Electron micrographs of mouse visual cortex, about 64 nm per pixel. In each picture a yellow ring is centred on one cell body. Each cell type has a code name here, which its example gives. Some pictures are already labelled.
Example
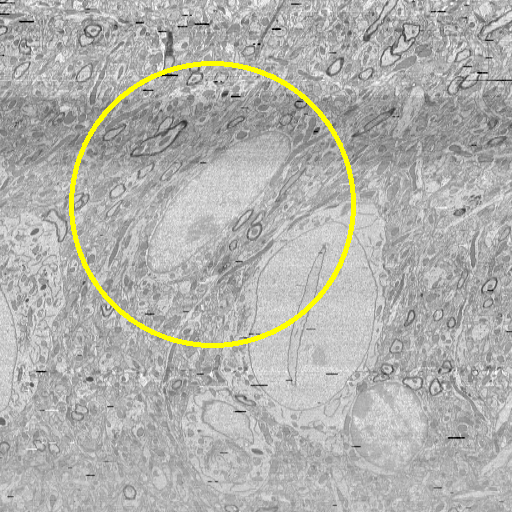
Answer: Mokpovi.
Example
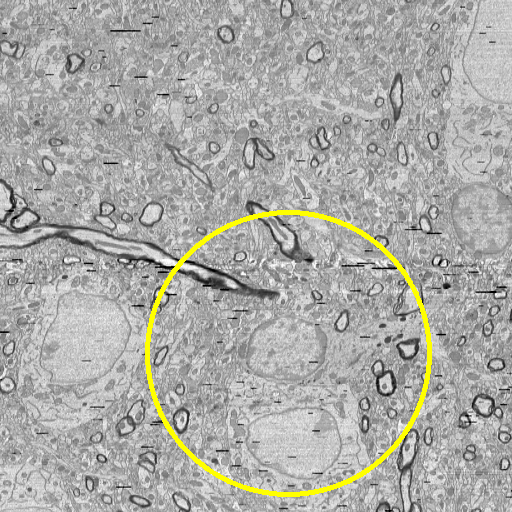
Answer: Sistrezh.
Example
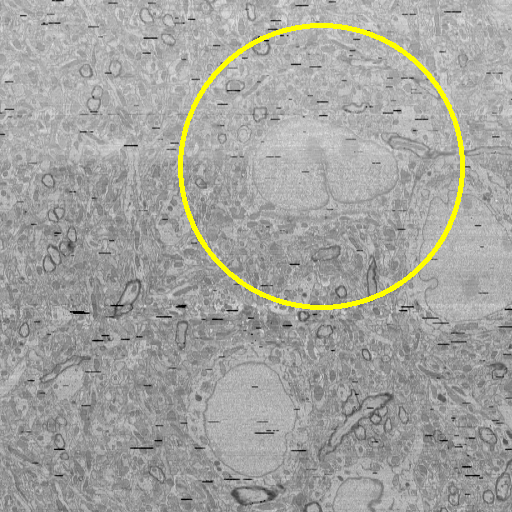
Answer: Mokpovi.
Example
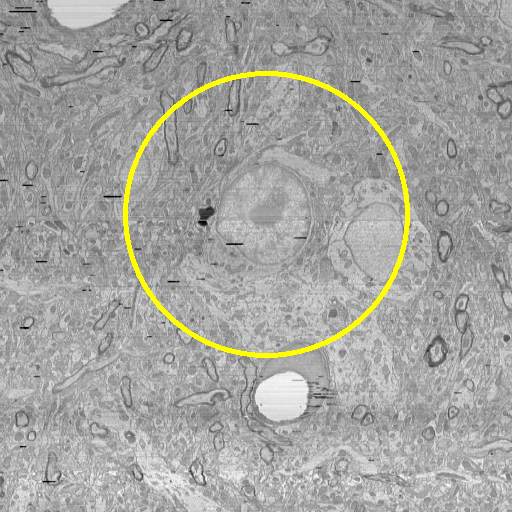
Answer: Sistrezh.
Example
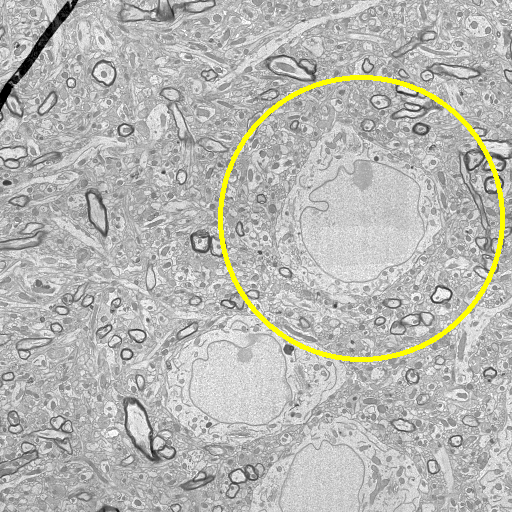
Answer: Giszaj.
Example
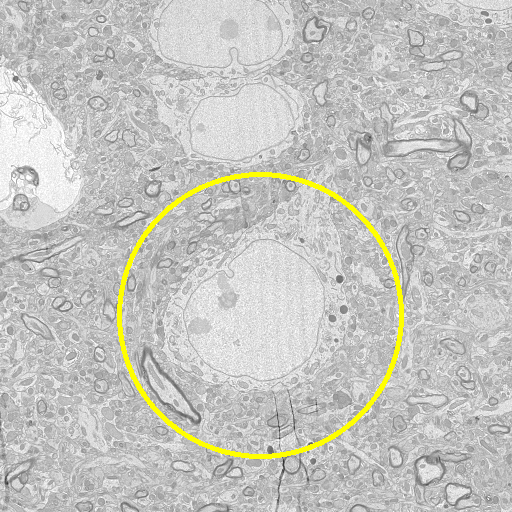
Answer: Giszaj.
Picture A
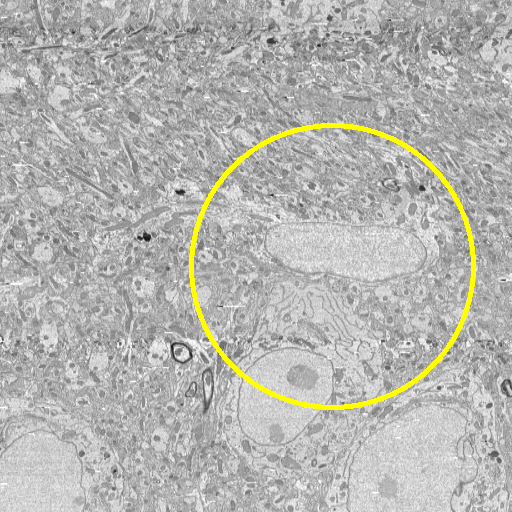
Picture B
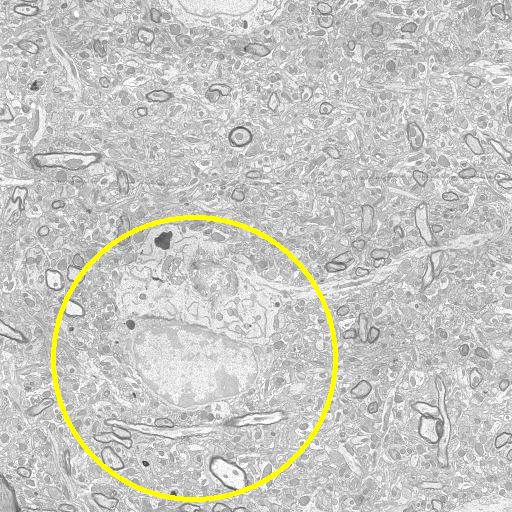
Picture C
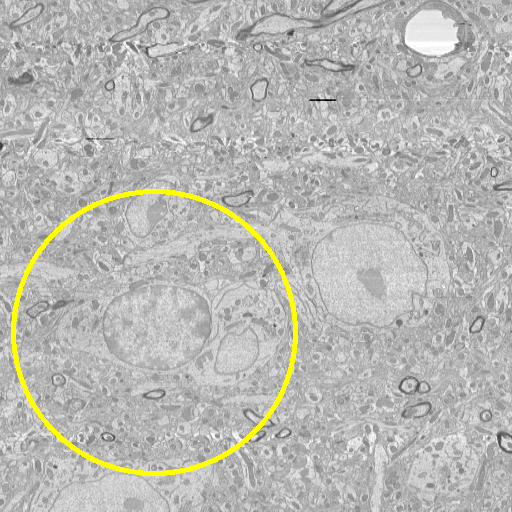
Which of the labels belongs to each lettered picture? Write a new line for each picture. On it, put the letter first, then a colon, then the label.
A: Mokpovi.
B: Sistrezh.
C: Sistrezh.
